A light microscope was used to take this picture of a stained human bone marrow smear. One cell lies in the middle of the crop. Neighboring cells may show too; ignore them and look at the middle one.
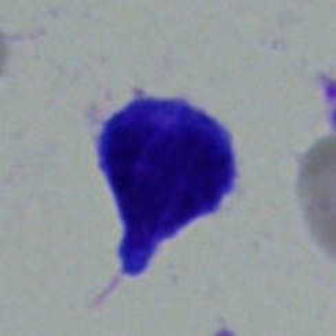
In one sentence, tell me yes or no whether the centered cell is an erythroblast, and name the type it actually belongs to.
No, that guess of an erythroblast misses; the central cell is a lymphocyte.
